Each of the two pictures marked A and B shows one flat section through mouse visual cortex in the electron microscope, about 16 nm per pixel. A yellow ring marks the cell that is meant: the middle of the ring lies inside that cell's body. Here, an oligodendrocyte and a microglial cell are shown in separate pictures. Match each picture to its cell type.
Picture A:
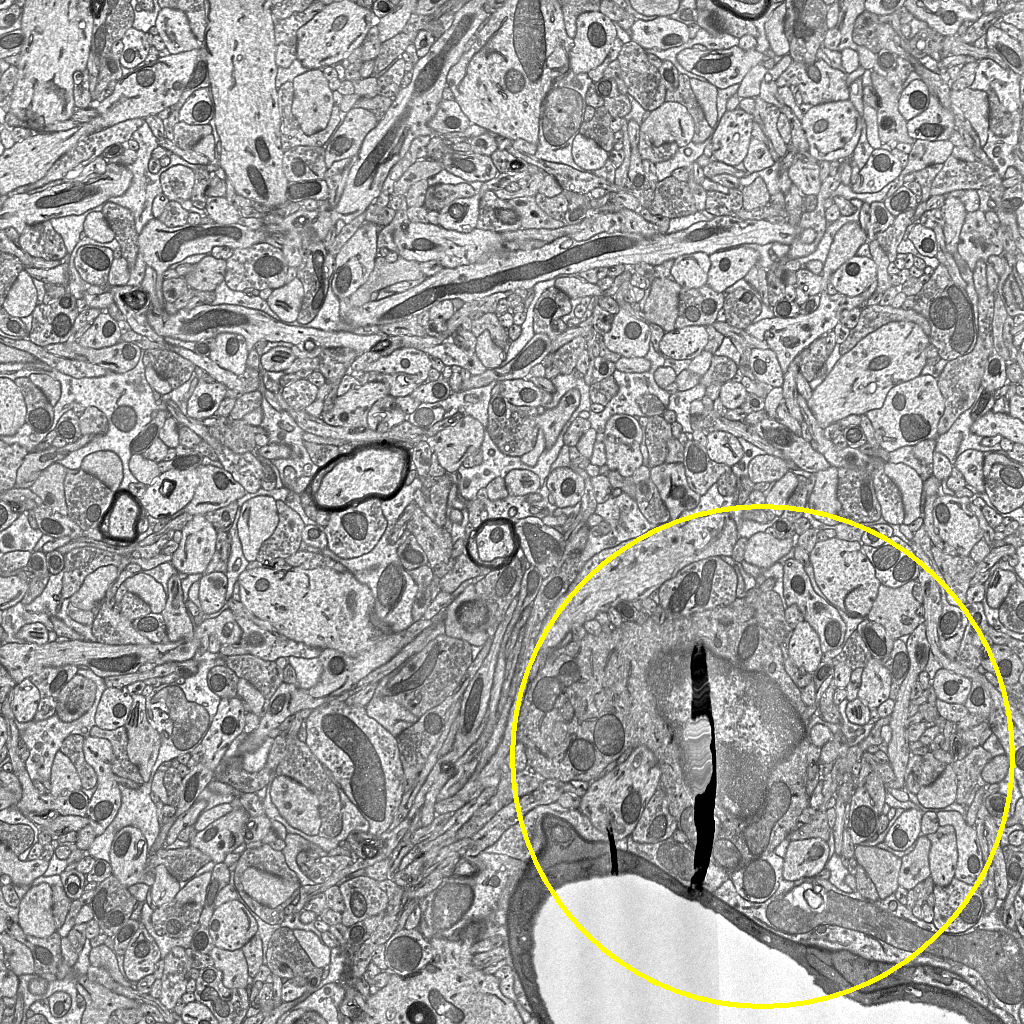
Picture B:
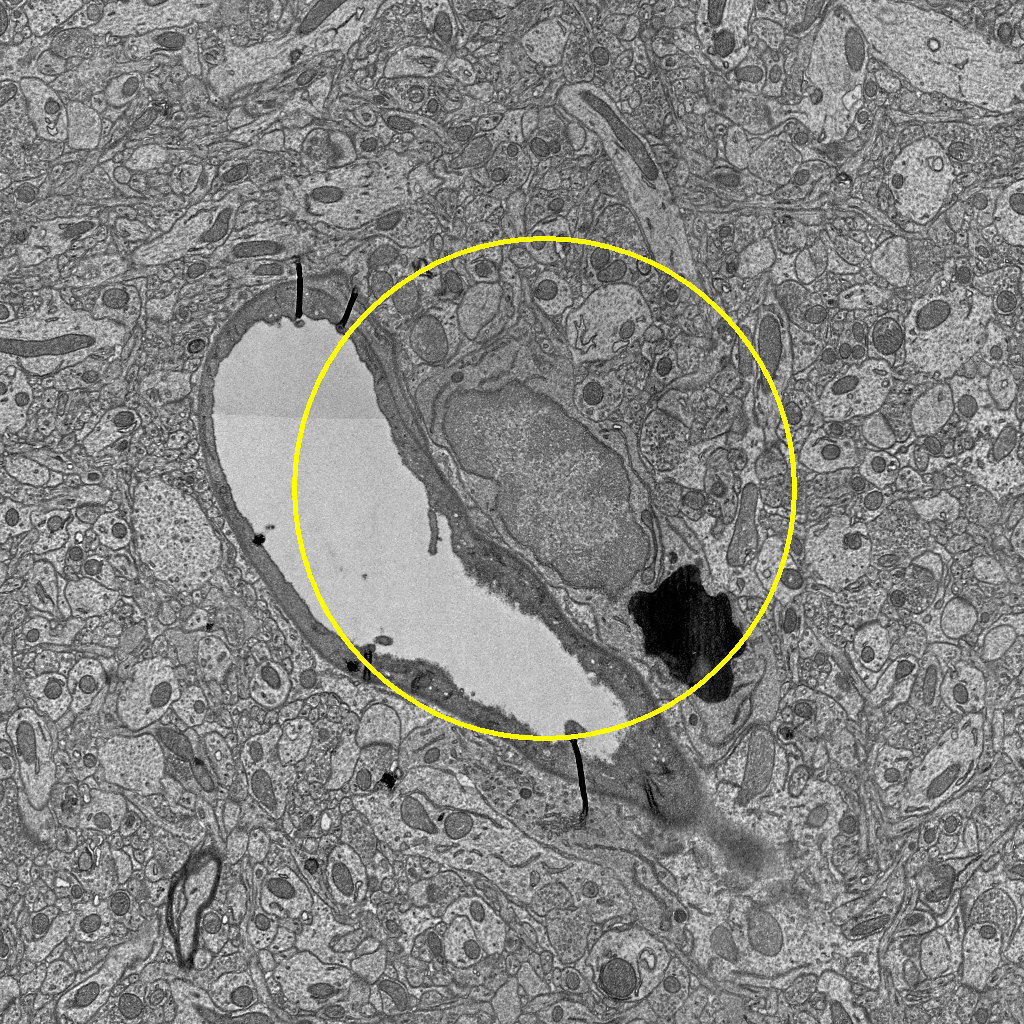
In picture A the cell is an oligodendrocyte; in picture B, a microglial cell.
